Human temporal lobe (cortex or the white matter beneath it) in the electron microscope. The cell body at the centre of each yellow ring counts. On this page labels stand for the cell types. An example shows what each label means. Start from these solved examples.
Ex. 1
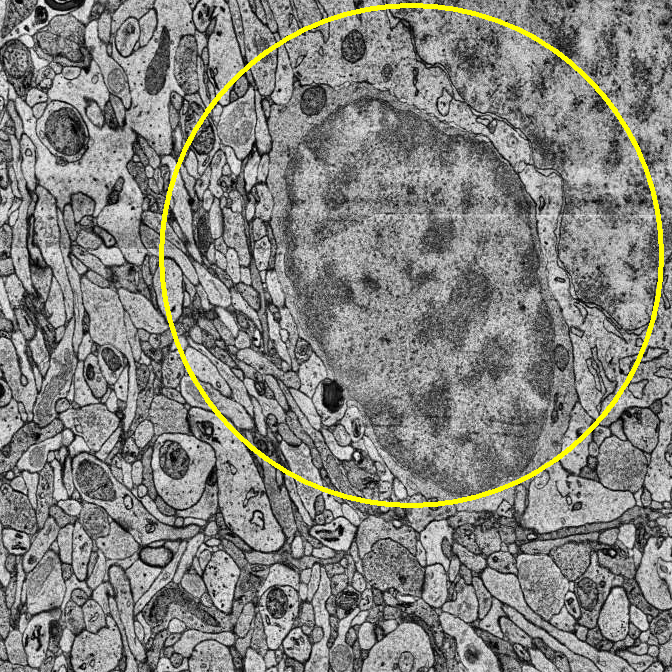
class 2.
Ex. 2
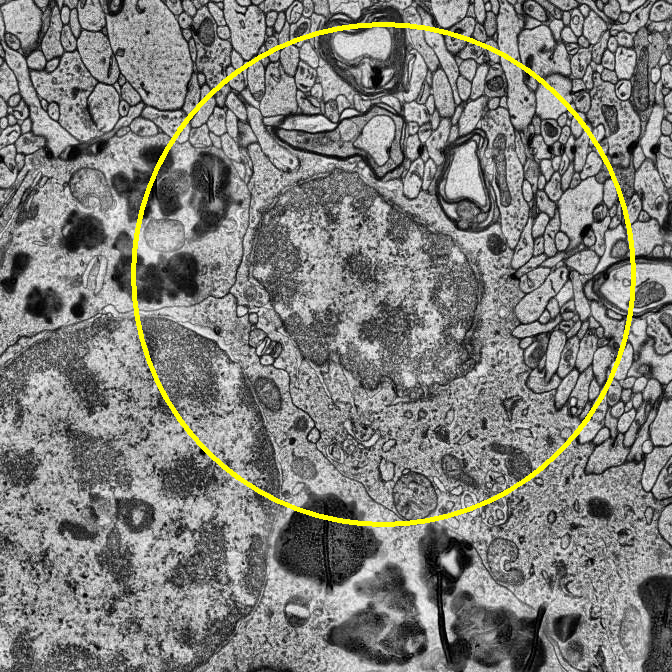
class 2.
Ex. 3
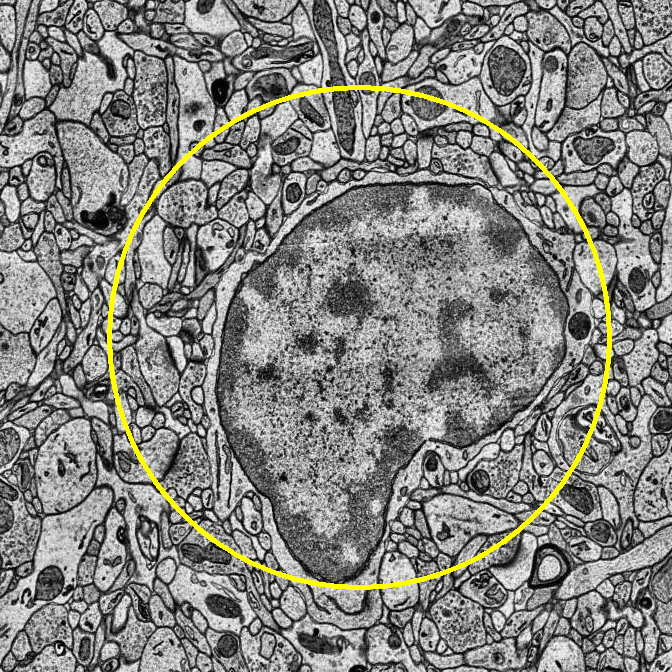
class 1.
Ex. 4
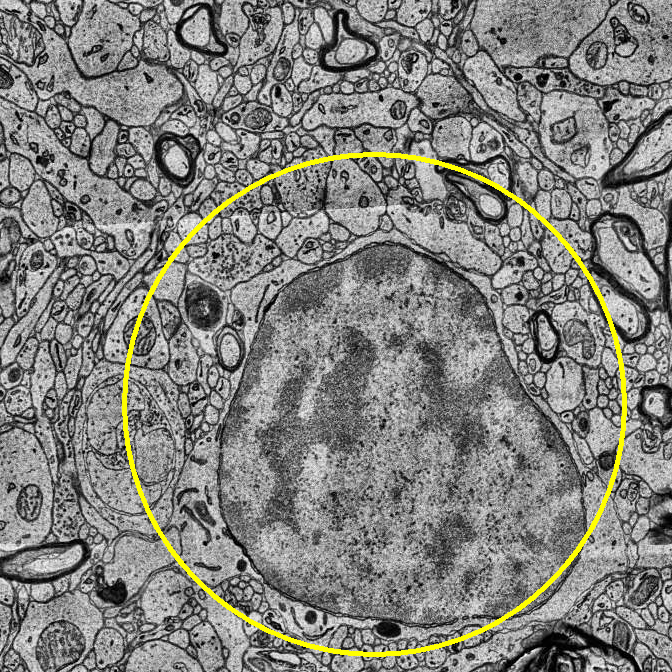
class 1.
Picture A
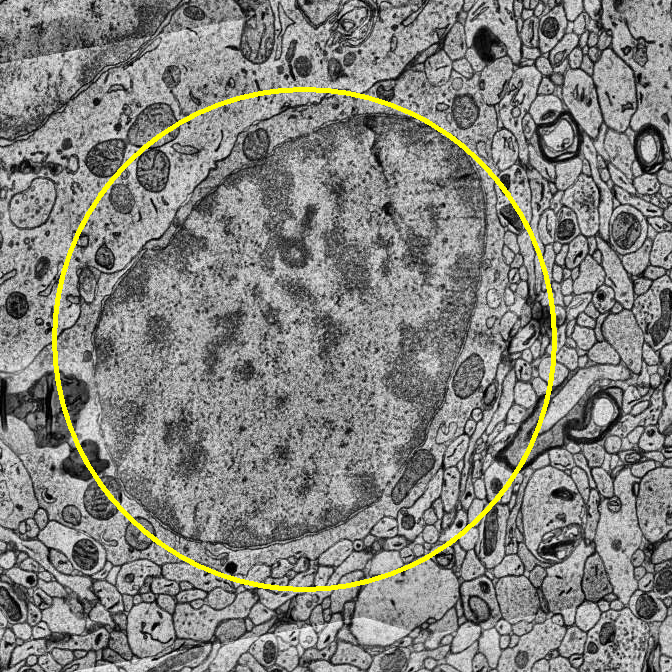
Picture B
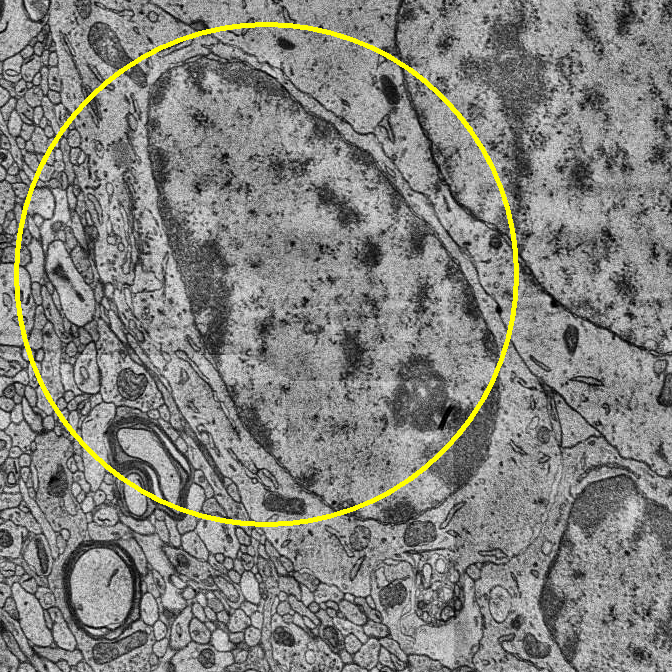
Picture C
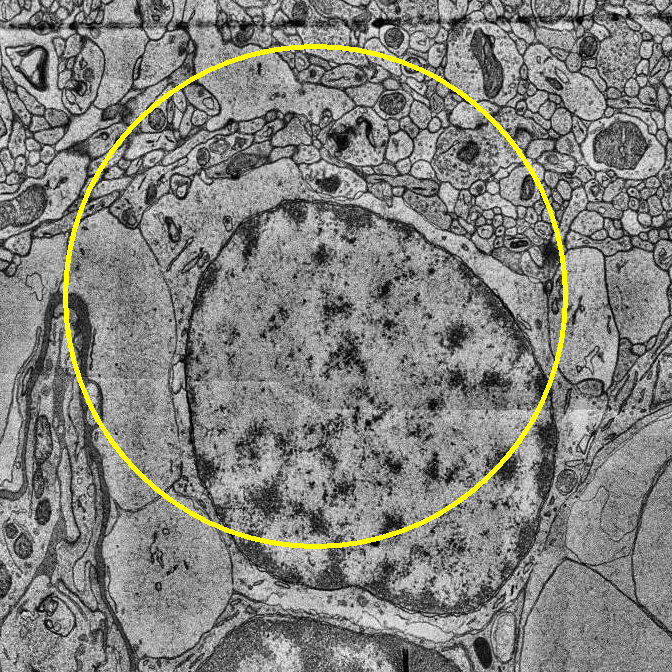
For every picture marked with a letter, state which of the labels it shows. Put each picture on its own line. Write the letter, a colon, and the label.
A: class 2.
B: class 1.
C: class 1.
